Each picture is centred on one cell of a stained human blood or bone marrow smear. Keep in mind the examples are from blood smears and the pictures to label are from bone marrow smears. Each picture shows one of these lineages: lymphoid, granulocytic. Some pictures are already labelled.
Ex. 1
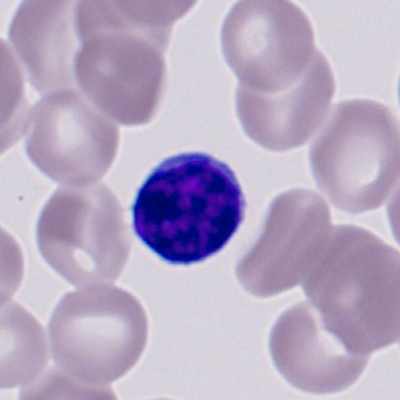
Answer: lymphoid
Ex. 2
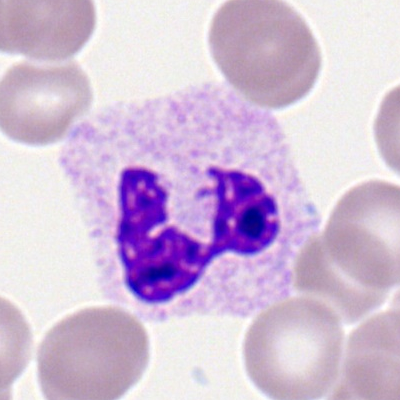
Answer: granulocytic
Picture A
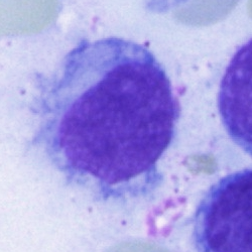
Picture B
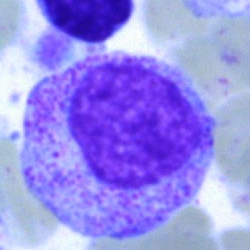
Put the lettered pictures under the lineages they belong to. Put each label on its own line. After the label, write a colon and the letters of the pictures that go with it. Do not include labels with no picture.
lymphoid: A
granulocytic: B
